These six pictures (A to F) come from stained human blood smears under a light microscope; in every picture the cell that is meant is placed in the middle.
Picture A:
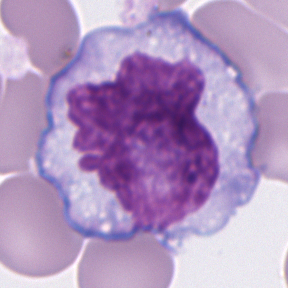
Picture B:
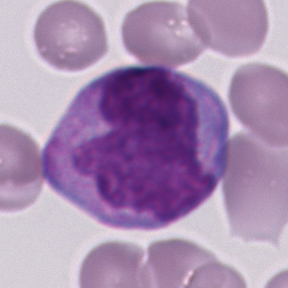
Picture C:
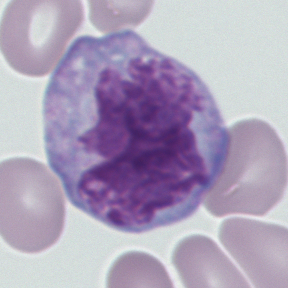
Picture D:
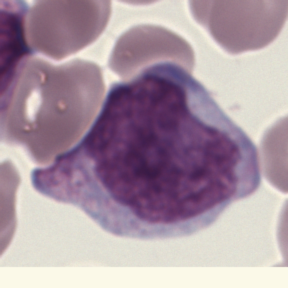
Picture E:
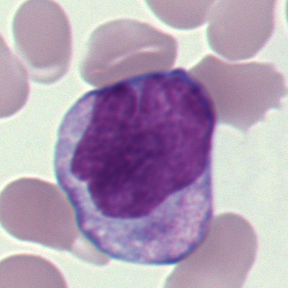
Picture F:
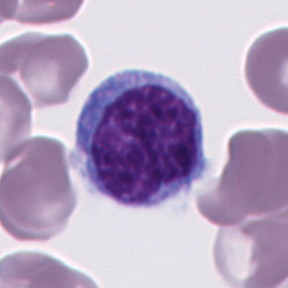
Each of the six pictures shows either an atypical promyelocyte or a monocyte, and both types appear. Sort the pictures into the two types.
A: monocyte
B: atypical promyelocyte
C: atypical promyelocyte
D: atypical promyelocyte
E: atypical promyelocyte
F: monocyte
